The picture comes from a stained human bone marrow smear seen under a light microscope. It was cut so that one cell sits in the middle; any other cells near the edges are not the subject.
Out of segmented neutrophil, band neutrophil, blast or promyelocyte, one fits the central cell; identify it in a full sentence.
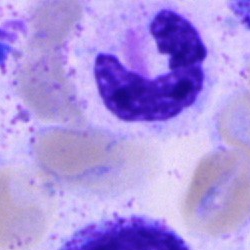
Among the cells in view, the one in the middle is a band neutrophil.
